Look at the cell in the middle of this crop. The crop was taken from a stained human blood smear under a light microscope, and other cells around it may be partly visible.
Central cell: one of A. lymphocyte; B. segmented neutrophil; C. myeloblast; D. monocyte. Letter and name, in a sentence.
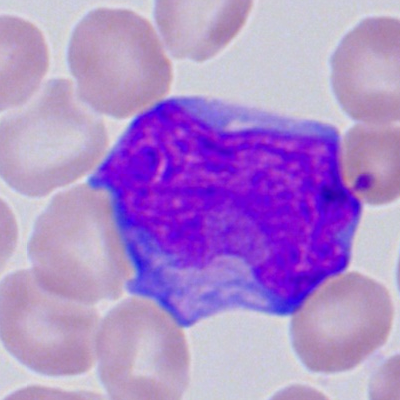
The cell centered in the crop is a myeloblast, making option C the correct pick.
